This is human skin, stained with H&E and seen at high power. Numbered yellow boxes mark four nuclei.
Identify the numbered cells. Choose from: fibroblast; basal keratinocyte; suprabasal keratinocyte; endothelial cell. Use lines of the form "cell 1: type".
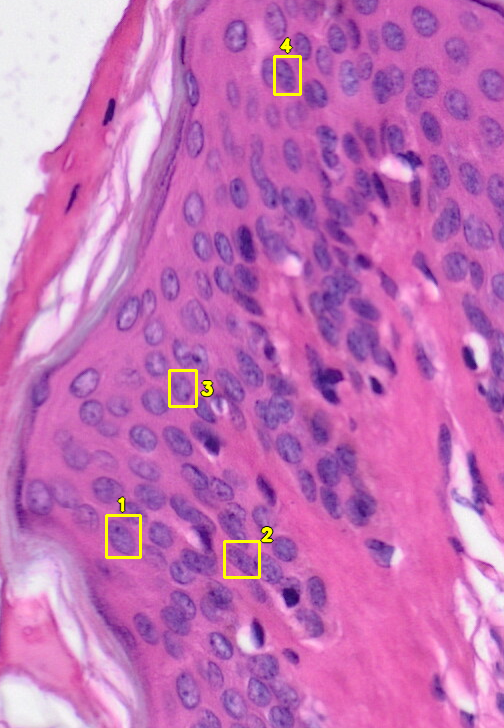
cell 1: suprabasal keratinocyte
cell 2: basal keratinocyte
cell 3: suprabasal keratinocyte
cell 4: suprabasal keratinocyte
